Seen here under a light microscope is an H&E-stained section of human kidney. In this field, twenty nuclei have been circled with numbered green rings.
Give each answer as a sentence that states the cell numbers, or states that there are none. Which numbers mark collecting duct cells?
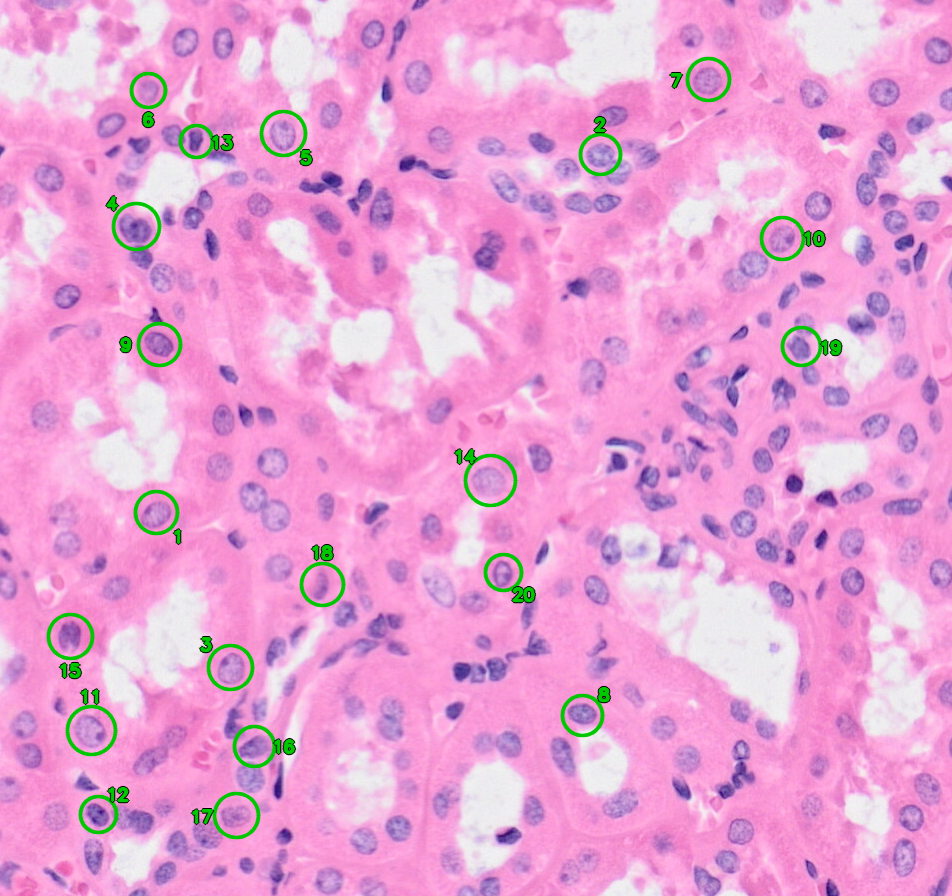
The cells numbered 2, 4, 12, 13, 16, 17, 18 and 19 are, by type, collecting duct cells.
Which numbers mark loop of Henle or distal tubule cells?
Only nucleus 8 belongs to a loop of Henle or distal tubule cell; the other numbered nuclei do not.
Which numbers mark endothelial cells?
No numbered cell in this section is one of the endothelial cells.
